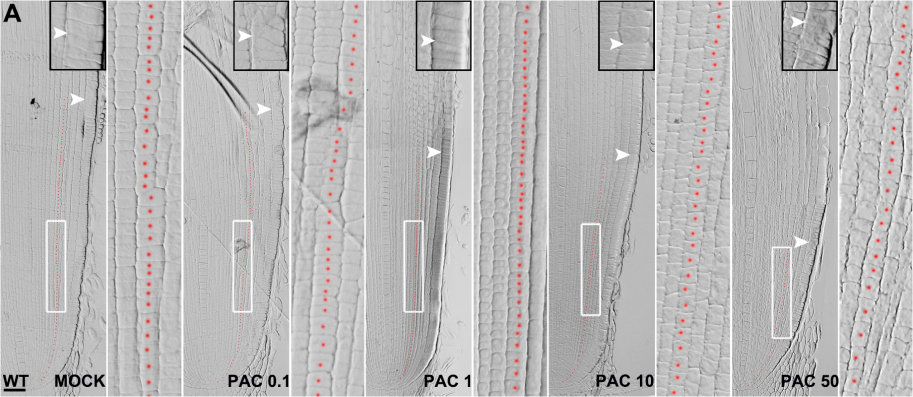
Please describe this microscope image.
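Longitudinal views of root tips showing the root meristem, with many parallel files of small, rectangular cells tapering toward the root cap at the bottom. One cortical cell file is marked by a line of red dots, and white arrowheads mark where the short meristematic cells give way to longer cells, enlarged in insets at the top. Magnified strips beside each root show the dotted file as short, box-like cells stacked end to end. In the rightmost root the marked zone is shorter and the cells in the strip are longer and less regular.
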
